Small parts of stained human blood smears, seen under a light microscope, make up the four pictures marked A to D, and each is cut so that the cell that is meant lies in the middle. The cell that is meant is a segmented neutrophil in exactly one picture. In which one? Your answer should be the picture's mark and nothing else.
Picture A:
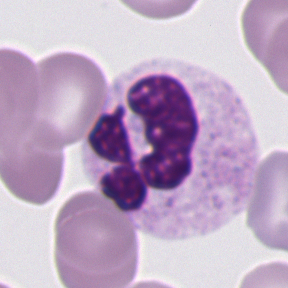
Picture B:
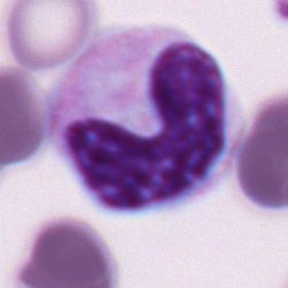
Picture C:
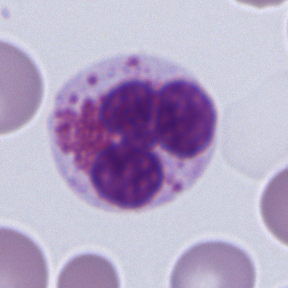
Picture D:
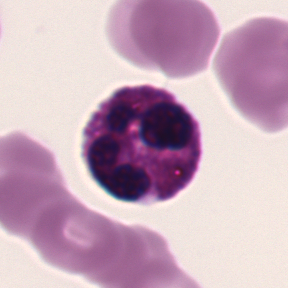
A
